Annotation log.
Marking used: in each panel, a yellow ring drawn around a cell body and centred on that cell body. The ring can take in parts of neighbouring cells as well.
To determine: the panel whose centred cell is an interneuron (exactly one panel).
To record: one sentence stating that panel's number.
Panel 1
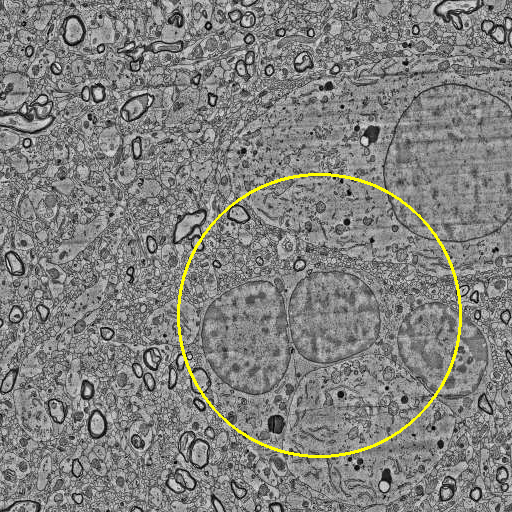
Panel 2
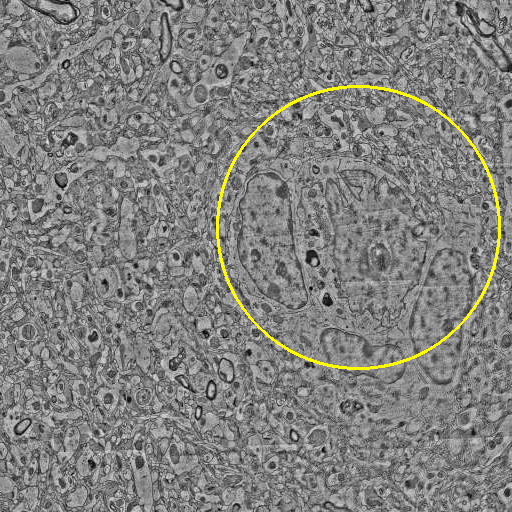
Panel 2 shows it at the centre of its ring.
